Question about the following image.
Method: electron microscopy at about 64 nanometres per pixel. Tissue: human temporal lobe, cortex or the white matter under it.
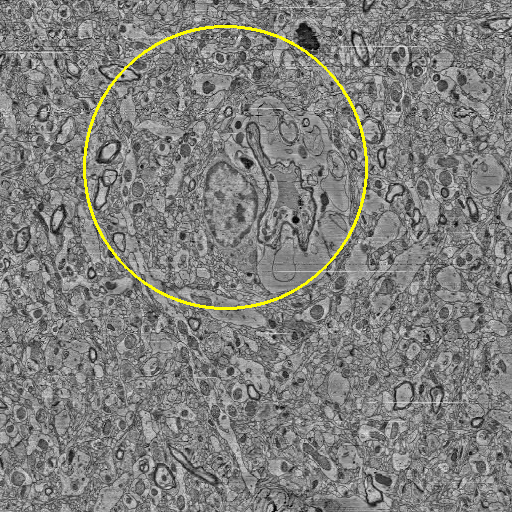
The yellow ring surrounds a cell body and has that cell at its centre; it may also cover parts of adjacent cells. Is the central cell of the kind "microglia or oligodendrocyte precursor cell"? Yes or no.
No, it is of another kind.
